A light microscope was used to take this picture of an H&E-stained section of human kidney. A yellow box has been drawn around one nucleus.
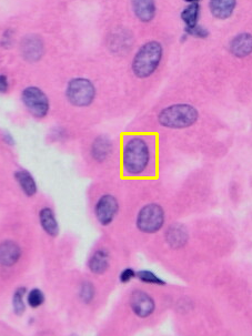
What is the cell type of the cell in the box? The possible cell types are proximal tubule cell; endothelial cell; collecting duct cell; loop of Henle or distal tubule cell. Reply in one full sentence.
The cell in the box appears to be a proximal tubule cell.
